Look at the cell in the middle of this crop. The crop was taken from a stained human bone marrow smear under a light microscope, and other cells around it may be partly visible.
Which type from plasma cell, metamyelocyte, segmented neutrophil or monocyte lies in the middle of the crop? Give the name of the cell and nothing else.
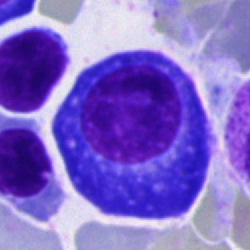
plasma cell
